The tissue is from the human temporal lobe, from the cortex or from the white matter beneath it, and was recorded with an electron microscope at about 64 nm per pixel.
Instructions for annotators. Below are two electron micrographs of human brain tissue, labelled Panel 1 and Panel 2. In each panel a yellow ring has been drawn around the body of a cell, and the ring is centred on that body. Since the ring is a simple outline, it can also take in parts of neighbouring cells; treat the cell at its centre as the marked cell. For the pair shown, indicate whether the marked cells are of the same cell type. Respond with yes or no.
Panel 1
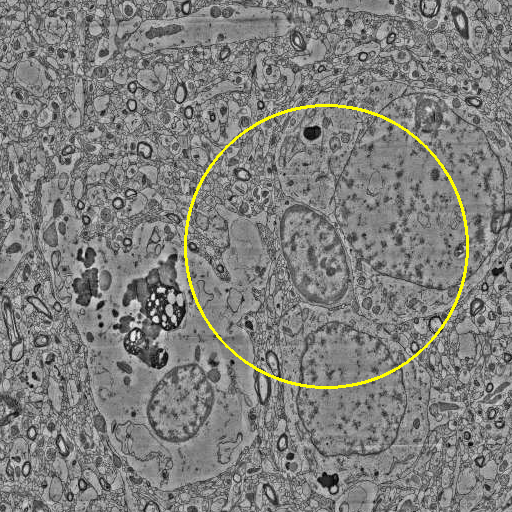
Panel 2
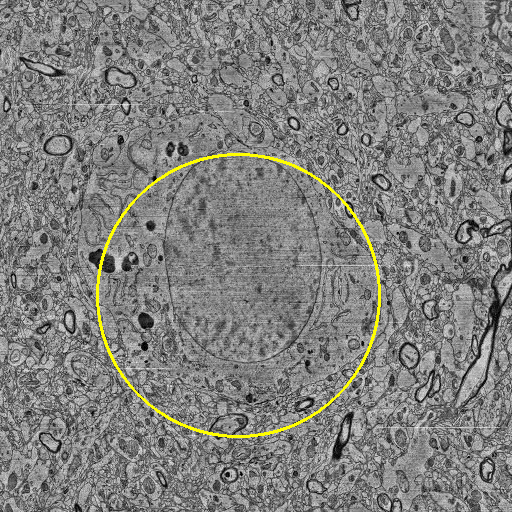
no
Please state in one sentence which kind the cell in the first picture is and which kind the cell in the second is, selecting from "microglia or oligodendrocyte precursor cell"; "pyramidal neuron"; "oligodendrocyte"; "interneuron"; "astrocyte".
The first ringed cell is an oligodendrocyte, the second ringed cell a pyramidal neuron.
